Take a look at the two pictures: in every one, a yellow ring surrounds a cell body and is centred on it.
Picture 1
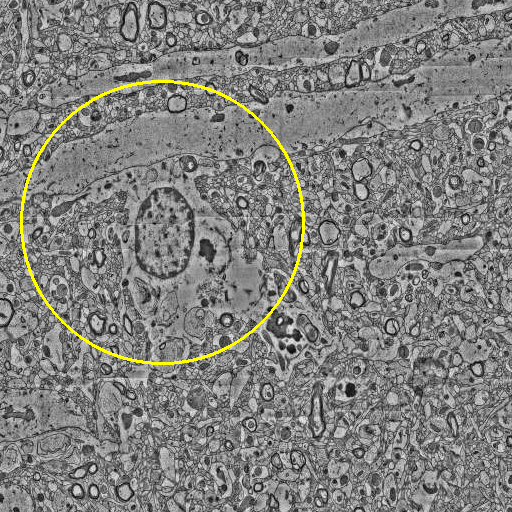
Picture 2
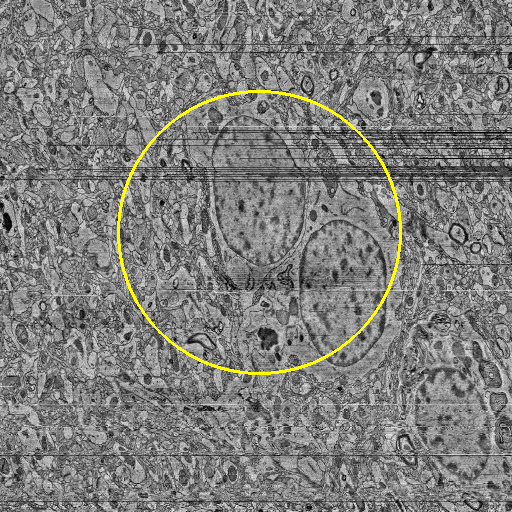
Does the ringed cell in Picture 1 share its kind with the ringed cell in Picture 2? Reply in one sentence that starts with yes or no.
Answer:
Yes, the two centred cells, one per picture, are of one kind.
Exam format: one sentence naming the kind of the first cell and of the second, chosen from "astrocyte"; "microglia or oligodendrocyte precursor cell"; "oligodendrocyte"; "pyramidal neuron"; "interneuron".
In each of the two pictures, the ringed cell is an astrocyte.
